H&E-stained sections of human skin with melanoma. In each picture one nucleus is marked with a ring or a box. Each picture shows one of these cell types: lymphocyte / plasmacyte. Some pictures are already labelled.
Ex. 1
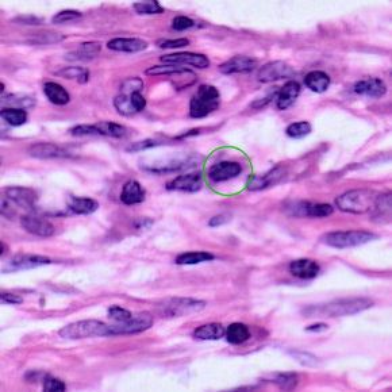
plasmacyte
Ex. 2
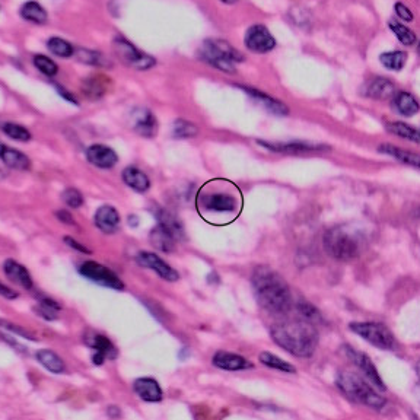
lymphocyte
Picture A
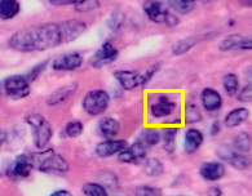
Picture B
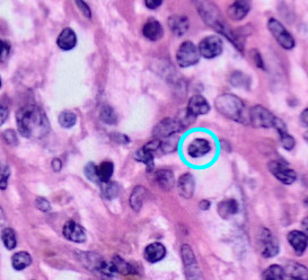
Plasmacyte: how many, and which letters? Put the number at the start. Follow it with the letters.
0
